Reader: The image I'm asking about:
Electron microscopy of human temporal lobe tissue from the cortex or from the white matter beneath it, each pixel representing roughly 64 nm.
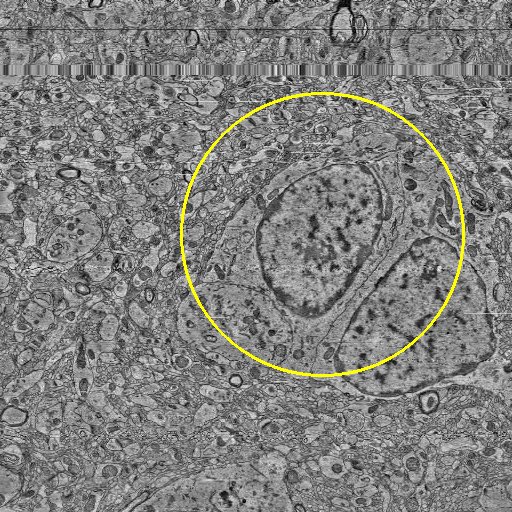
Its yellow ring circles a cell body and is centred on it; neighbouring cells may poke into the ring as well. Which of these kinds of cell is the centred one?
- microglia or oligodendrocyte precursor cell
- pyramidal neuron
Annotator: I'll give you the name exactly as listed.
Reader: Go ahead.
microglia or oligodendrocyte precursor cell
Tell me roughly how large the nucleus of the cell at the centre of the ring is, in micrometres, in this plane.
In this plane the nucleus is about 11 micrometres by 7.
